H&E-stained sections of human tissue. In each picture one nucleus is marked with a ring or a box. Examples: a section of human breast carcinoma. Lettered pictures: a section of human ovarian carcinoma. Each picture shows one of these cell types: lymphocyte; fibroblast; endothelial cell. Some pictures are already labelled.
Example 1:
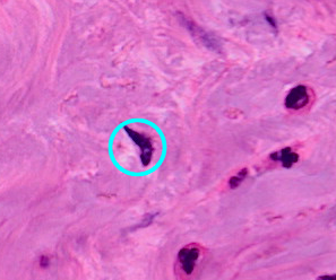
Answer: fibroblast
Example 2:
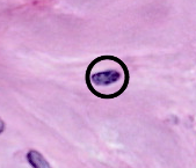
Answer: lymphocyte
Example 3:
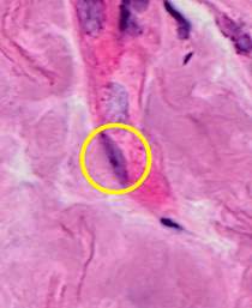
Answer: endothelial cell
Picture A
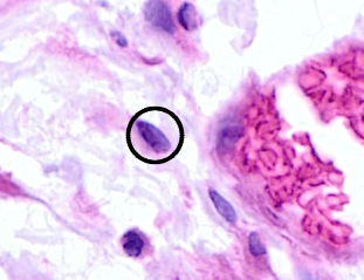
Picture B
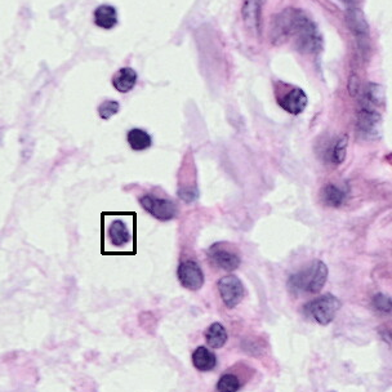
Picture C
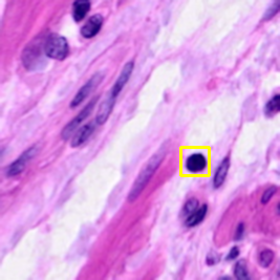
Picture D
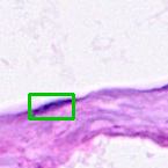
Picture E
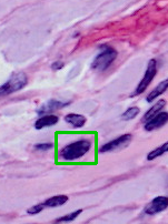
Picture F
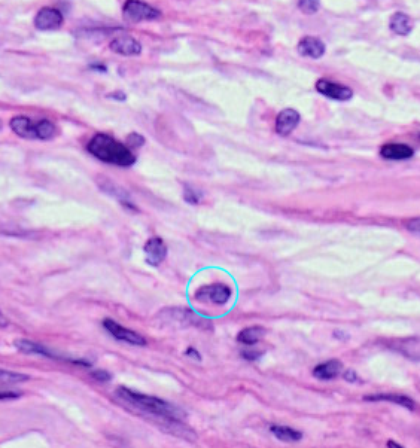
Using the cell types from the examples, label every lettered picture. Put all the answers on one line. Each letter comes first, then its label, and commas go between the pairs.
A fibroblast, B lymphocyte, C lymphocyte, D endothelial cell, E lymphocyte, F lymphocyte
